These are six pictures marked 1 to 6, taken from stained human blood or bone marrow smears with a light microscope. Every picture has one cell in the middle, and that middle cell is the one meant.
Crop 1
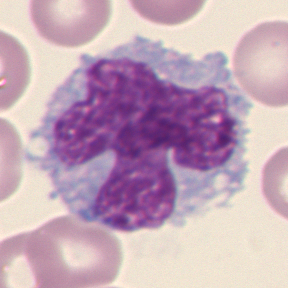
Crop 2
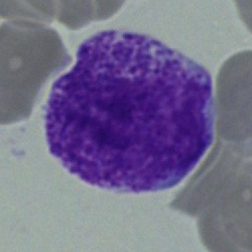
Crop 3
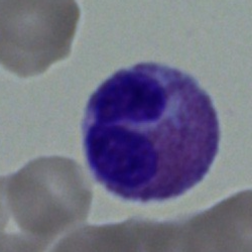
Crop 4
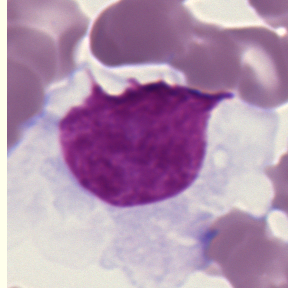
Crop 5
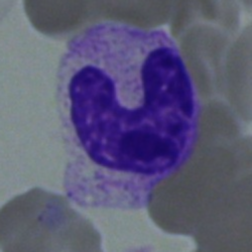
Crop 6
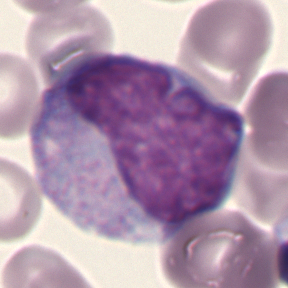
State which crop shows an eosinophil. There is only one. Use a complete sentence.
Here the crop that shows an eosinophil is crop 3.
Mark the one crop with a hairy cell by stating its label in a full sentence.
Crop 4 is the crop containing a hairy cell.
